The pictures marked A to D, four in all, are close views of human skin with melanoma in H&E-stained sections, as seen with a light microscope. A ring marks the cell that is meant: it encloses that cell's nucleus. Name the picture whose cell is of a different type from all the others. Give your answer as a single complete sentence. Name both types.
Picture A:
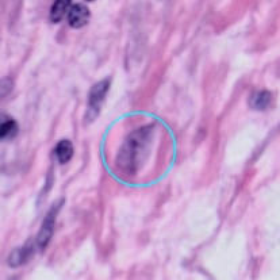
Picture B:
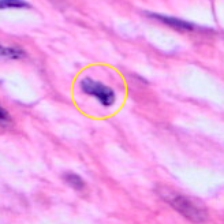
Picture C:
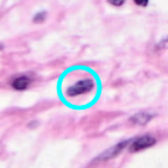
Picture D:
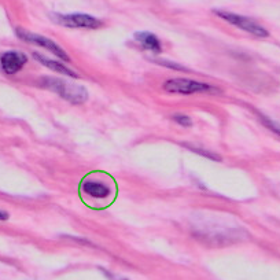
Picture A differs, because its cell is a “fibroblast or myofibroblast” and the rest are lymphocytes.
